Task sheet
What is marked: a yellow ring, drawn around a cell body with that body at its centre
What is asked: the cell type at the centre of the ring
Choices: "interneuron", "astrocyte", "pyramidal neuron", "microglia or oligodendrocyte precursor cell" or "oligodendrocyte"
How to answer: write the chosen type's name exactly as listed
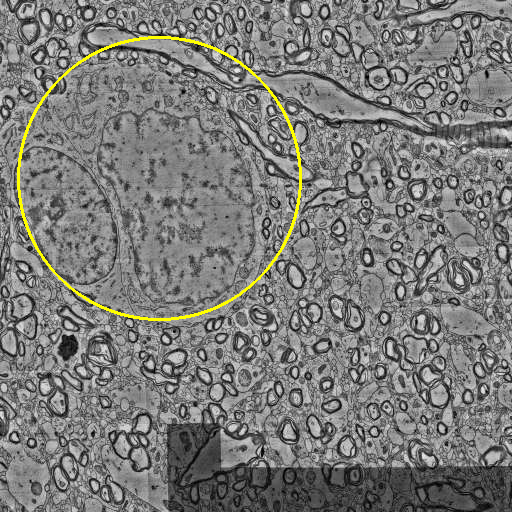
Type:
interneuron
